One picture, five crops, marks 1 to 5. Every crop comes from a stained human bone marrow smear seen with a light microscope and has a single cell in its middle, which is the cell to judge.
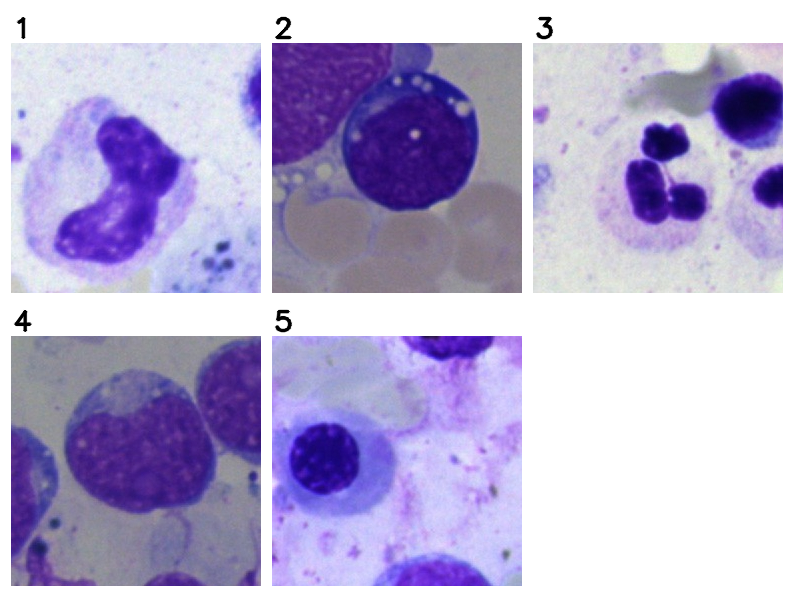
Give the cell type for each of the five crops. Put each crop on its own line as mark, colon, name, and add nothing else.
1: band neutrophil
2: blast
3: segmented neutrophil
4: blast
5: normoblast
